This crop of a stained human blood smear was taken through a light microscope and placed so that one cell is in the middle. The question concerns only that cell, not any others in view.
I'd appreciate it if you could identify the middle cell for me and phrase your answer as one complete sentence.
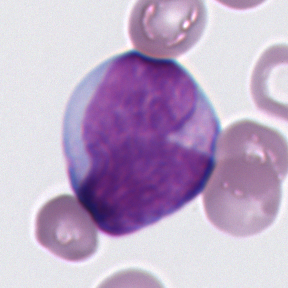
Answering briefly, the cell in the middle is an atypical promyelocyte.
